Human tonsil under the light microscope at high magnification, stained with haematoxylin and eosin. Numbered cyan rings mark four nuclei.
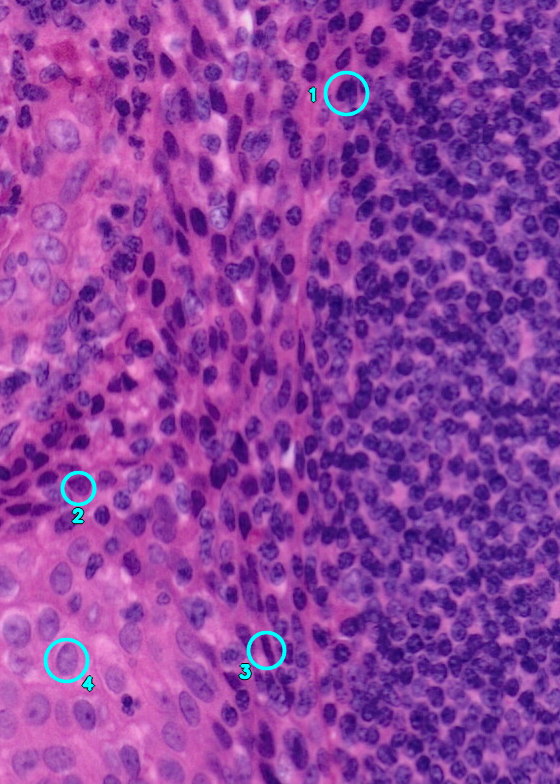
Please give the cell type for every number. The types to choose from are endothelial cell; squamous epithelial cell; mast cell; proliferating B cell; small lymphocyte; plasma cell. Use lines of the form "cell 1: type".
cell 1: plasma cell
cell 2: squamous epithelial cell
cell 3: squamous epithelial cell
cell 4: squamous epithelial cell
